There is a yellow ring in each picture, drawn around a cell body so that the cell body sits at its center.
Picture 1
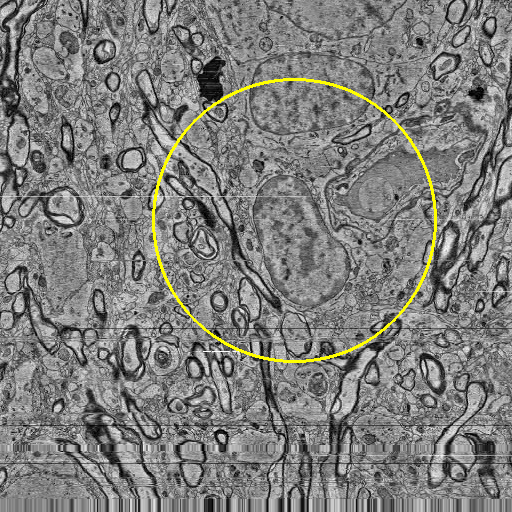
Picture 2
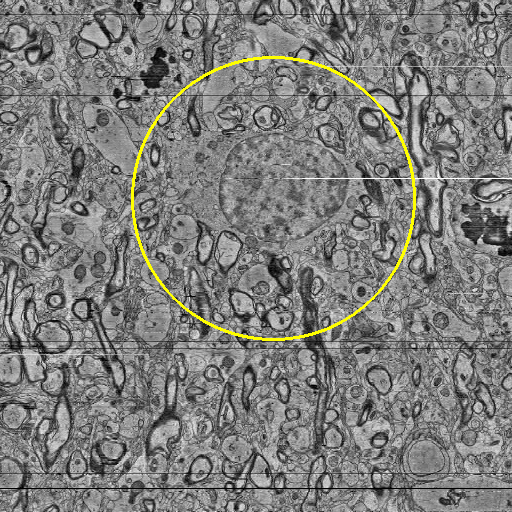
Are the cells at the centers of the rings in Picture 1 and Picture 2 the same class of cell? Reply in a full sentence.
No, the two cells are two classes of cell.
